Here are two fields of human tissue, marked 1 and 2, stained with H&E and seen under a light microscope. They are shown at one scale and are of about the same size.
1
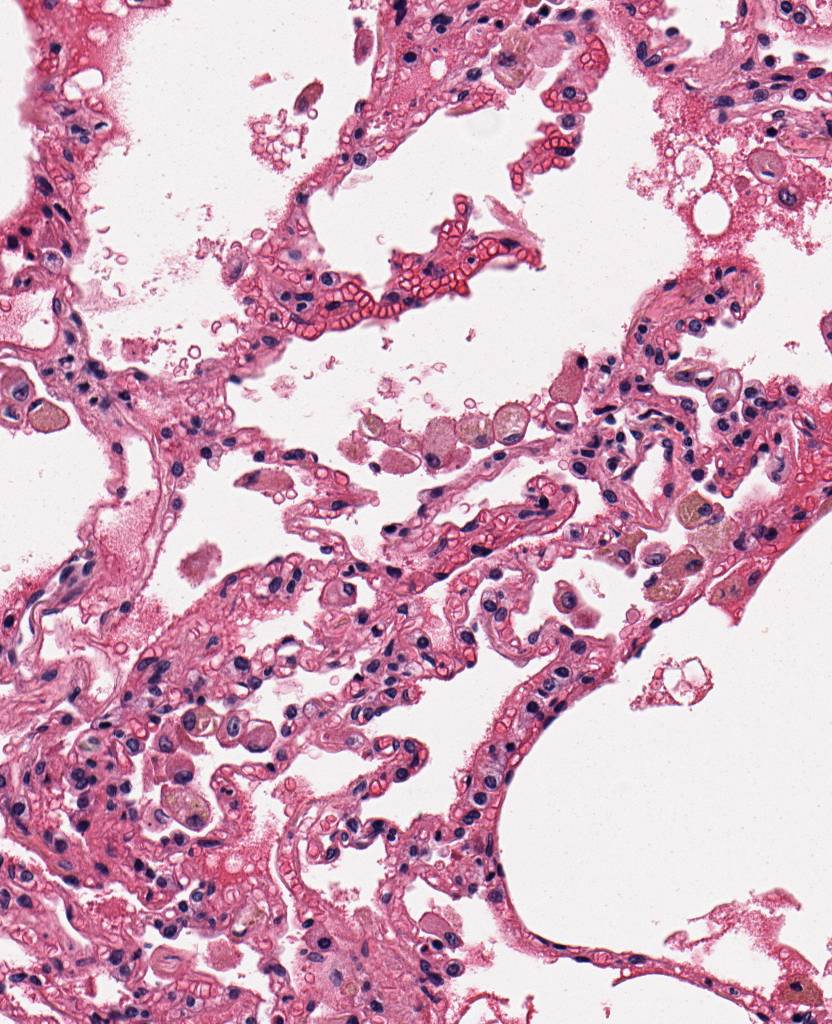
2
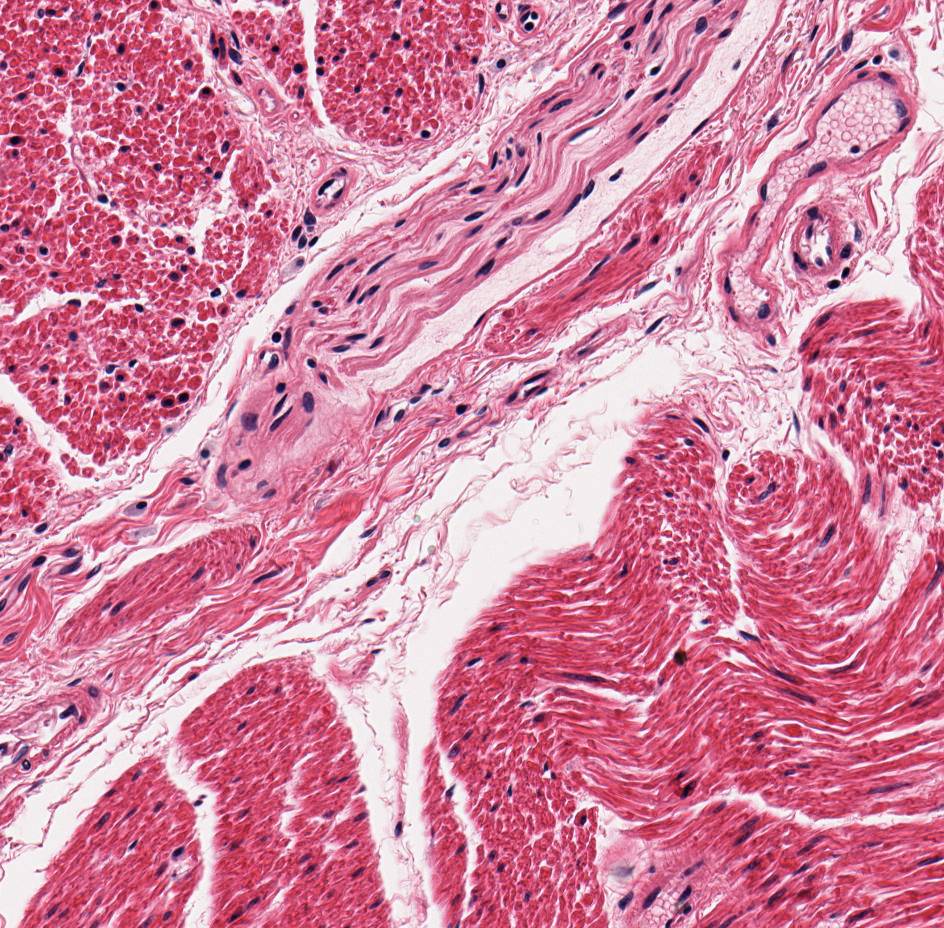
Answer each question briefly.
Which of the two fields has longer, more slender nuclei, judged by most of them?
2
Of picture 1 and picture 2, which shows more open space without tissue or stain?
1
